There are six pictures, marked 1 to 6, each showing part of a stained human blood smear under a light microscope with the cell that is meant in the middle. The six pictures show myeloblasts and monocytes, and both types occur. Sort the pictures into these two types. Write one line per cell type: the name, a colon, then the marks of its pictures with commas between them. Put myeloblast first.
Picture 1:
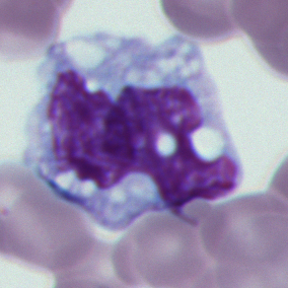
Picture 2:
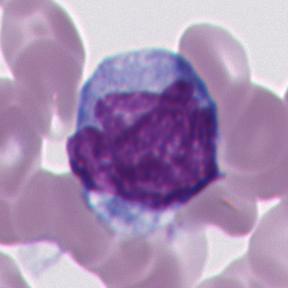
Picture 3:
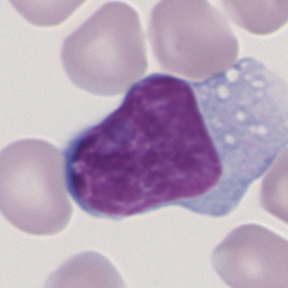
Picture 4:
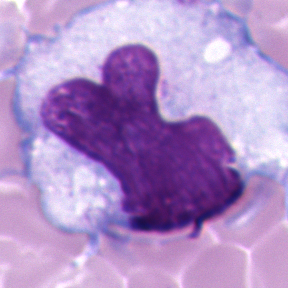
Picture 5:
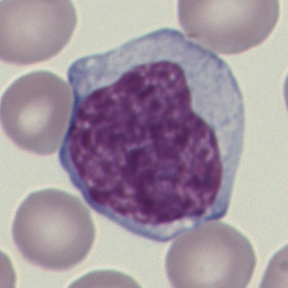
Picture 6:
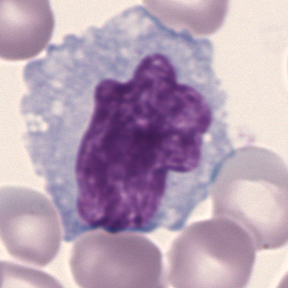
myeloblast: 3, 5
monocyte: 1, 2, 4, 6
